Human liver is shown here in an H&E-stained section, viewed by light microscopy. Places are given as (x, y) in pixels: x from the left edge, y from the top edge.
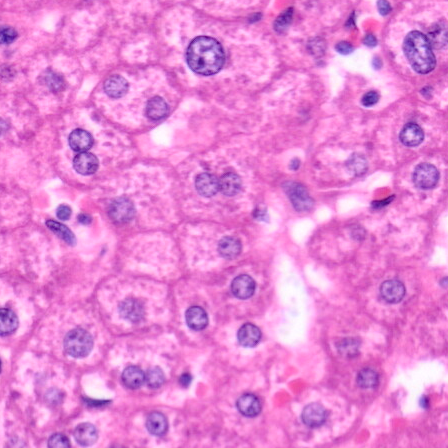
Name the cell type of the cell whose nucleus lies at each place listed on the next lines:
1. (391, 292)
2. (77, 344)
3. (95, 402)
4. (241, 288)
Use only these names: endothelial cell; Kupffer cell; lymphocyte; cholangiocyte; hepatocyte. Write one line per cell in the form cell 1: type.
cell 1: hepatocyte
cell 2: hepatocyte
cell 3: endothelial cell
cell 4: hepatocyte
